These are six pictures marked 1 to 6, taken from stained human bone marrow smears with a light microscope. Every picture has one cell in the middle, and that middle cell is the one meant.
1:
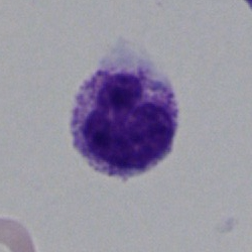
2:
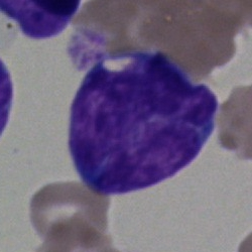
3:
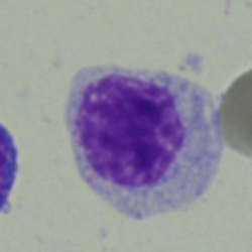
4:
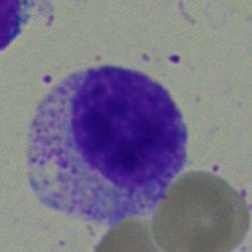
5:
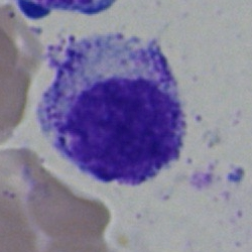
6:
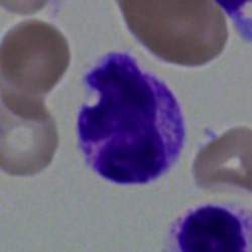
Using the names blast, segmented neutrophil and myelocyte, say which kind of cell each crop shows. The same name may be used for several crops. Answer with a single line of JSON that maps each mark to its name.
{"1": "segmented neutrophil", "2": "blast", "3": "myelocyte", "4": "myelocyte", "5": "myelocyte", "6": "segmented neutrophil"}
